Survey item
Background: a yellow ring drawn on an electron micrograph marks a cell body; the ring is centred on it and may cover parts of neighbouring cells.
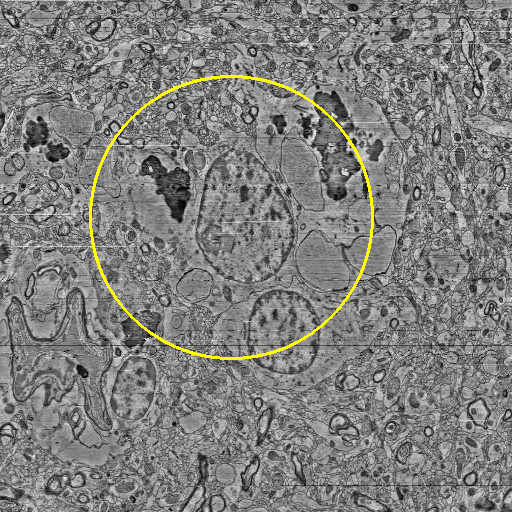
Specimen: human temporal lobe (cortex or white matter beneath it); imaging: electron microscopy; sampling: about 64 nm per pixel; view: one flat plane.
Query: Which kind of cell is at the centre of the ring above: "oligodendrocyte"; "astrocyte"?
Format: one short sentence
The cell in the middle of the ring is an astrocyte.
